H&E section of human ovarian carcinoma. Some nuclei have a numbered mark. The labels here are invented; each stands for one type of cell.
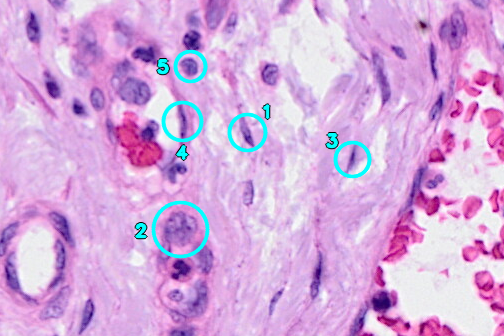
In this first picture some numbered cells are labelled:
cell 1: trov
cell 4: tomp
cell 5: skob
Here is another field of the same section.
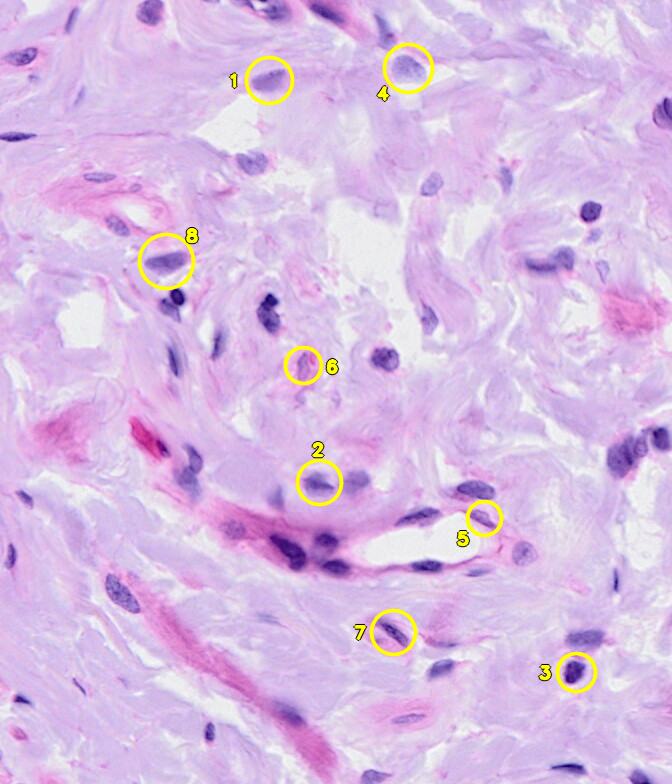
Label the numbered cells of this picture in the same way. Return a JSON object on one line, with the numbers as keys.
{"1": "trov", "2": "trov", "3": "skob", "4": "trov", "5": "tomp", "6": "tomp", "7": "tomp", "8": "trov"}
